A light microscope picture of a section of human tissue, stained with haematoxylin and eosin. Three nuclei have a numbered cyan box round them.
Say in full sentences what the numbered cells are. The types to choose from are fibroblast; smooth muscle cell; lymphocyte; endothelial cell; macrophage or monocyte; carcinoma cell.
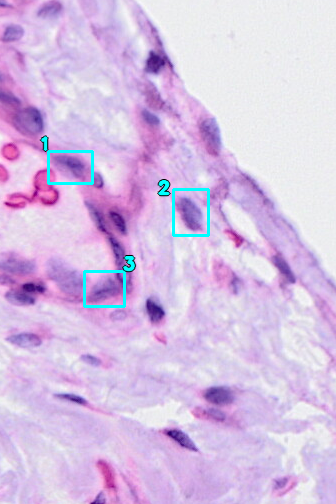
Cell 1 is an endothelial cell, cell 2 is a fibroblast and cell 3 is an endothelial cell.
